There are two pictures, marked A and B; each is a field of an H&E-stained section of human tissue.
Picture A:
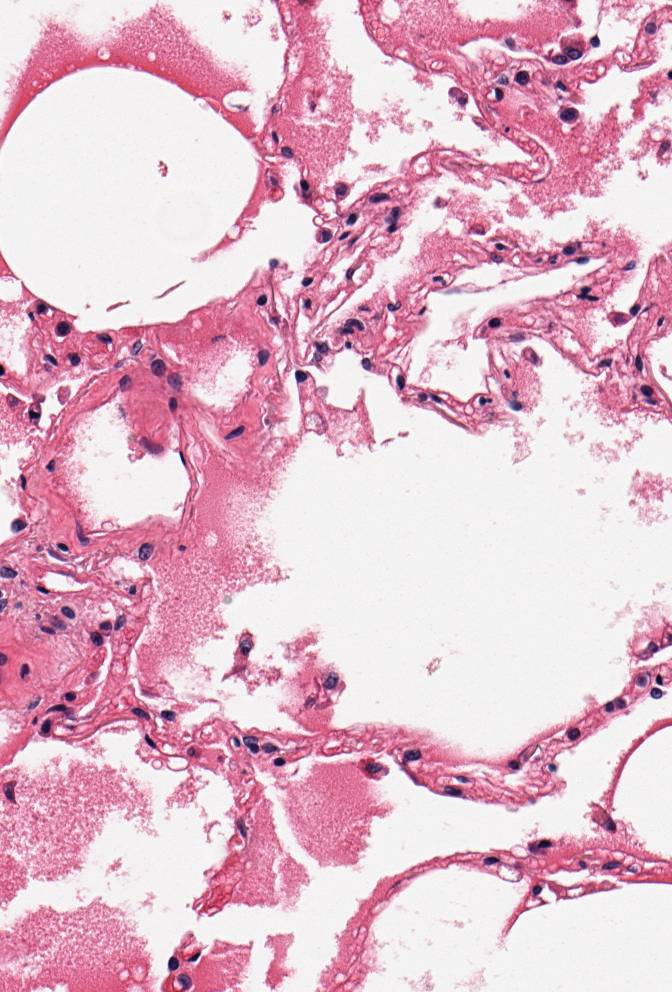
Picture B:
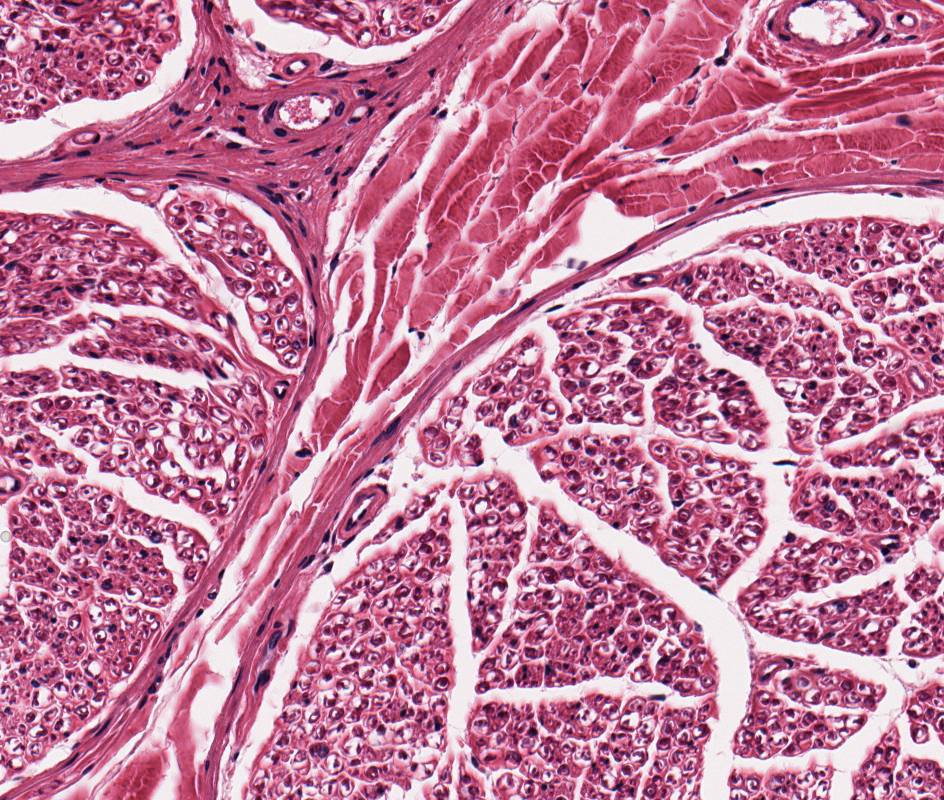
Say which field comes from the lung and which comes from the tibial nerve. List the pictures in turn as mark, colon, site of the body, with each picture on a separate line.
A: lung
B: tibial nerve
